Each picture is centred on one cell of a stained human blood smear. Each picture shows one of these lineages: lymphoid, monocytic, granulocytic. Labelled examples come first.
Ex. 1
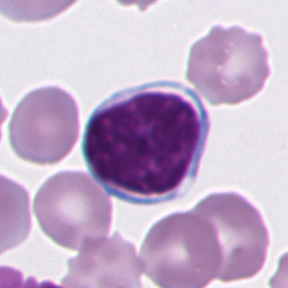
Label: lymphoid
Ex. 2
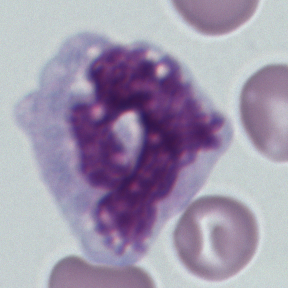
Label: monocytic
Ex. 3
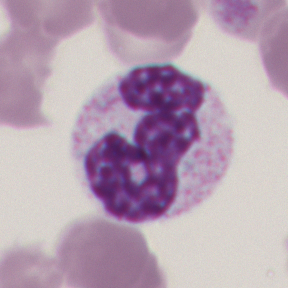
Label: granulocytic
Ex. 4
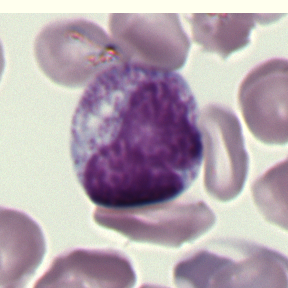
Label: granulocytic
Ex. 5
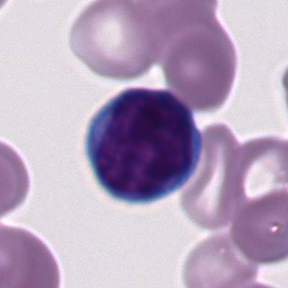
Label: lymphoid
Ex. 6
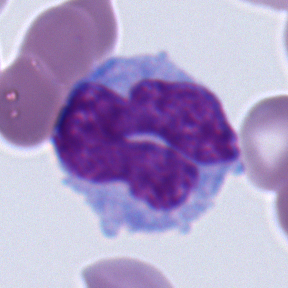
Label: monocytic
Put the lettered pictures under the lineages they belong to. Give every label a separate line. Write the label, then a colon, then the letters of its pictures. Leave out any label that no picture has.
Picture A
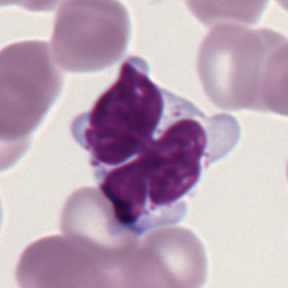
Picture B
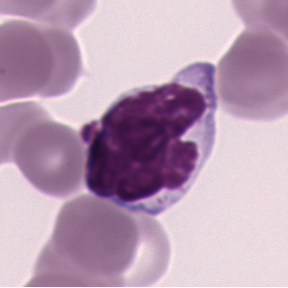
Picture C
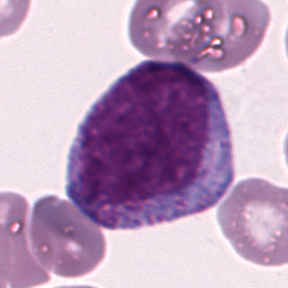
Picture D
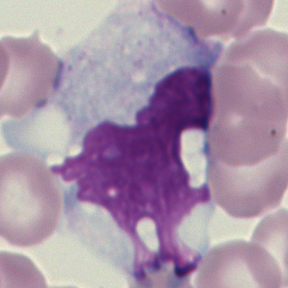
lymphoid: A, B
monocytic: D
granulocytic: C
